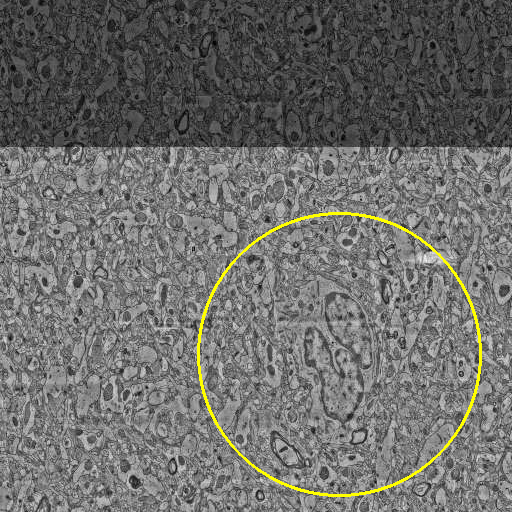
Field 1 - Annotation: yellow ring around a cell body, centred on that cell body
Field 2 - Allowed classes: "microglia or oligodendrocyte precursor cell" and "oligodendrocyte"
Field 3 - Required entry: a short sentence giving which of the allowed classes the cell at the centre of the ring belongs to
The centred cell is a microglial cell or oligodendrocyte precursor cell.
